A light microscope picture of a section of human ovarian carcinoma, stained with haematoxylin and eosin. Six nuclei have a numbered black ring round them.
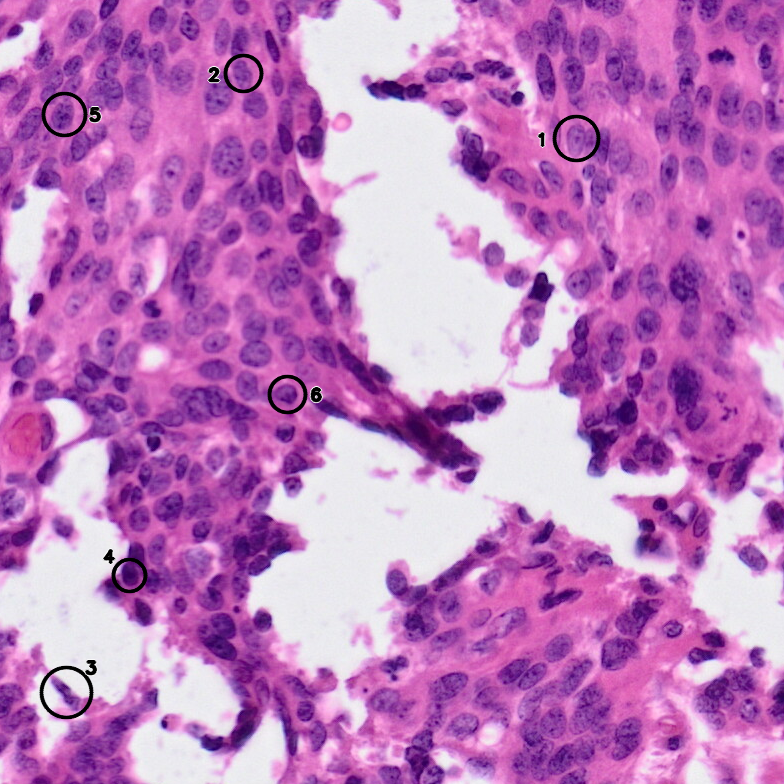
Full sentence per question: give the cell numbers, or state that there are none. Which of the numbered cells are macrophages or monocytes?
When it comes to cells 3 and 6, they are macrophages or monocytes.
